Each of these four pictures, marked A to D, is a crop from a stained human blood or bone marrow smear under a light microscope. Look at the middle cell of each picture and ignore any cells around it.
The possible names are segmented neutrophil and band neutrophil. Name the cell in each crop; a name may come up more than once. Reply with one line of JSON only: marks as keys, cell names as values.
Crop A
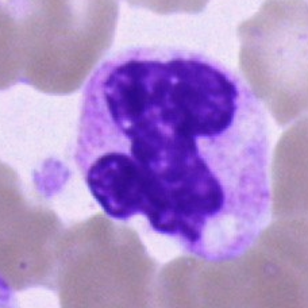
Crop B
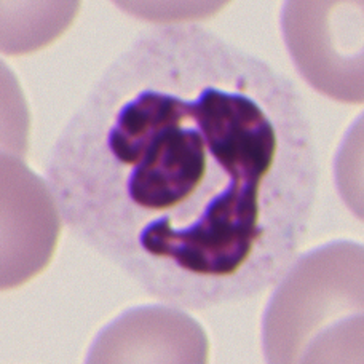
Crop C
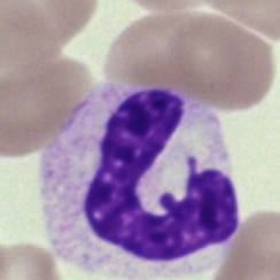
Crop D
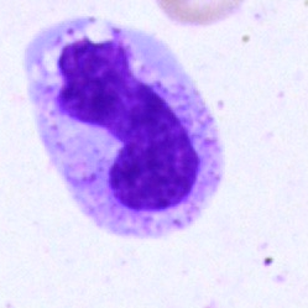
{"A": "segmented neutrophil", "B": "segmented neutrophil", "C": "band neutrophil", "D": "band neutrophil"}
